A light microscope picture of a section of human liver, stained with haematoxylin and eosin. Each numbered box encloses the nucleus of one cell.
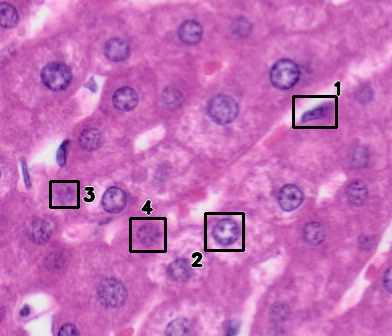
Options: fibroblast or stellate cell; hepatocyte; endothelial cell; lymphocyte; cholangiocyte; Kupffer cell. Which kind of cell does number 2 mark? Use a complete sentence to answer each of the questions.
The cell referenced by the number 2 is a hepatocyte in this field.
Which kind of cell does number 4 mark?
The cell referenced by the number 4 is a hepatocyte in this field.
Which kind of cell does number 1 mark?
The cell numbered 1 represents an endothelial cell.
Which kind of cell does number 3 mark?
The cell indicated with the number 3 is classed as a hepatocyte.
